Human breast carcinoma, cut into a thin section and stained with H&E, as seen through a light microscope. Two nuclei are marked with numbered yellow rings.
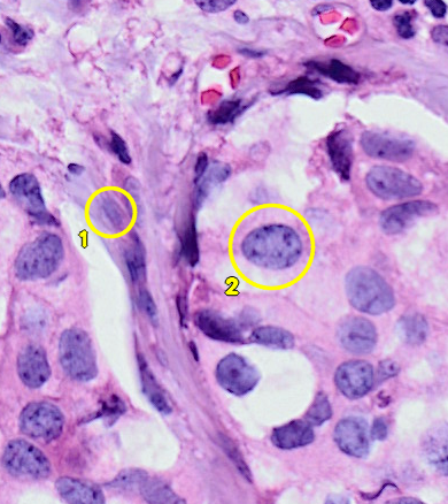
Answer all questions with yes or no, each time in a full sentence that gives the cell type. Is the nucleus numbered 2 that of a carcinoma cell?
Yes, the cell pointed out as number 2 is a carcinoma cell.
